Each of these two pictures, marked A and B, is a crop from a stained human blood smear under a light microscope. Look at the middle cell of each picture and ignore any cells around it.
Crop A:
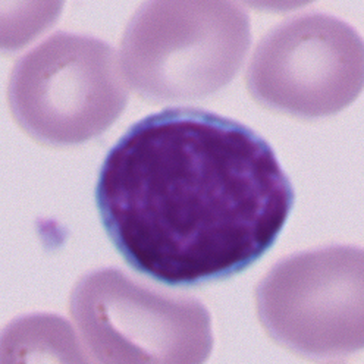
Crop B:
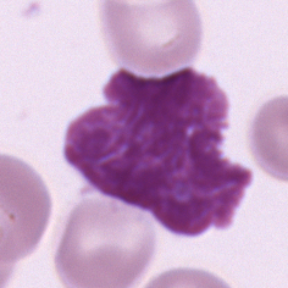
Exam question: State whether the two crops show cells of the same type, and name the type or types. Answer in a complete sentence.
No: a typical lymphocyte sits in crop A, and a smudge cell sits in crop B.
